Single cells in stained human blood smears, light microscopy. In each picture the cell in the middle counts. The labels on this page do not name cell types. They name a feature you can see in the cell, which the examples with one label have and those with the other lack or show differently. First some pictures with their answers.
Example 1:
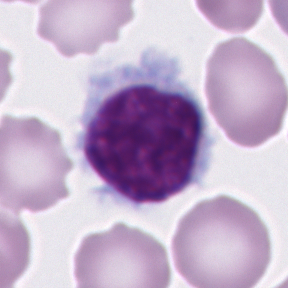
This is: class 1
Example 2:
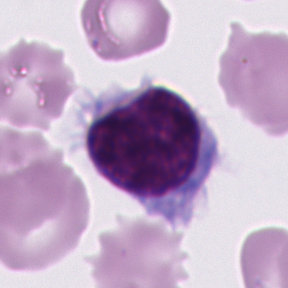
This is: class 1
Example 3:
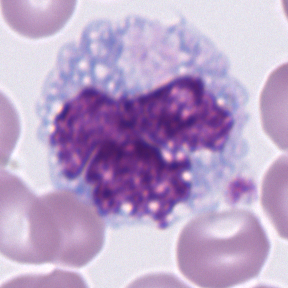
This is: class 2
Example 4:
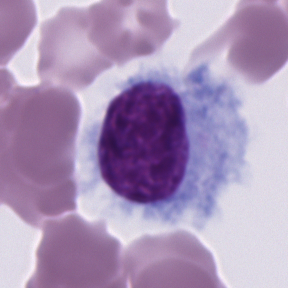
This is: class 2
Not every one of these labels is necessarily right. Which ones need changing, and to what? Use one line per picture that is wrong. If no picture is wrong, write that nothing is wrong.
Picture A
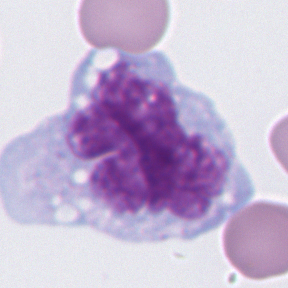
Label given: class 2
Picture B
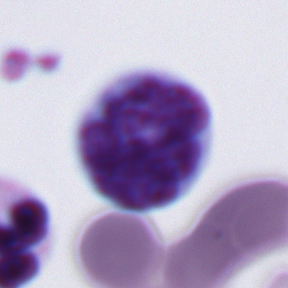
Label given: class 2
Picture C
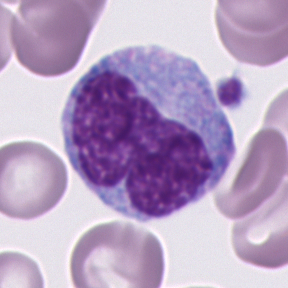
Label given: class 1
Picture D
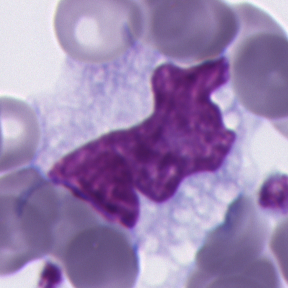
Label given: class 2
B: not class 2 but class 1
C: not class 1 but class 2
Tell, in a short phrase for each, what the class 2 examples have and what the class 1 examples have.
class 2, abundant cytoplasm; class 1, scant cytoplasm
